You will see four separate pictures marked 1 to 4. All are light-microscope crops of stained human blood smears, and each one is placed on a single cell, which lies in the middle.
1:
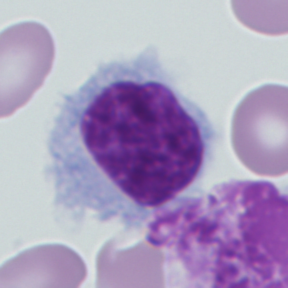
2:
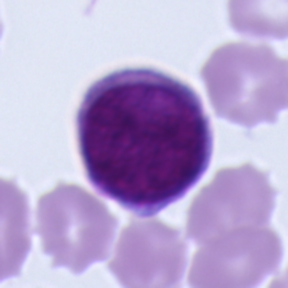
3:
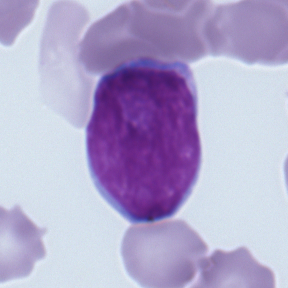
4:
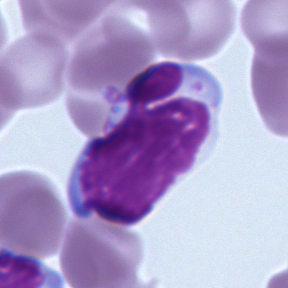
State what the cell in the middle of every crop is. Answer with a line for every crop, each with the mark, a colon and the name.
1: hairy cell
2: myeloblast
3: myeloblast
4: large granular lymphocyte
